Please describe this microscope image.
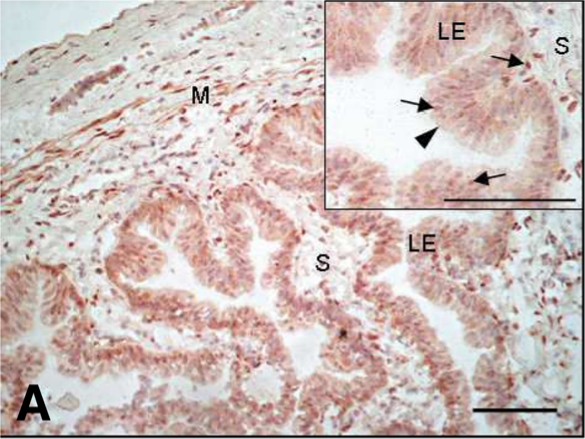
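This is the folded mucosa of an oviduct, with a single layer of tall columnar epithelial cells lining long, branching folds, each fold carrying a thin core of loose connective tissue with scattered spindle-shaped cells. At the top a thin band of smooth muscle with elongated nuclei runs along the wall. The epithelial cells have oval nuclei, and both their nuclei and their cytoplasm take up the reddish-brown stain, while the nuclei of the stromal cells in the fold cores are stained as well. The elaborate branching folds set against a thin muscle wall fit the ampulla of the oviduct.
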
